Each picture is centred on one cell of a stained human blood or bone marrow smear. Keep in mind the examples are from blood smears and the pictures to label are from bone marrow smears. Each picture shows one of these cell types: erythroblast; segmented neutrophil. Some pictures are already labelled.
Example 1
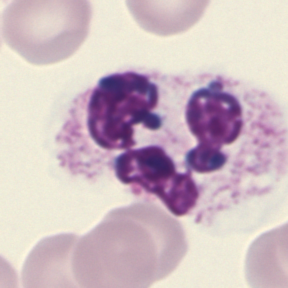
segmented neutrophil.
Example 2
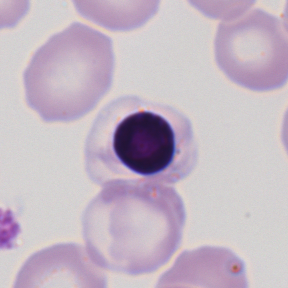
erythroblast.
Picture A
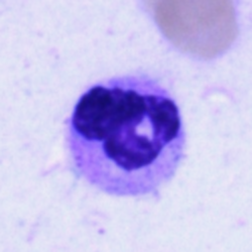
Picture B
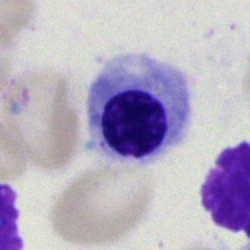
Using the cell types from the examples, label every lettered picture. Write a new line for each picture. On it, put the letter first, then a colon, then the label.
A: segmented neutrophil.
B: erythroblast.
